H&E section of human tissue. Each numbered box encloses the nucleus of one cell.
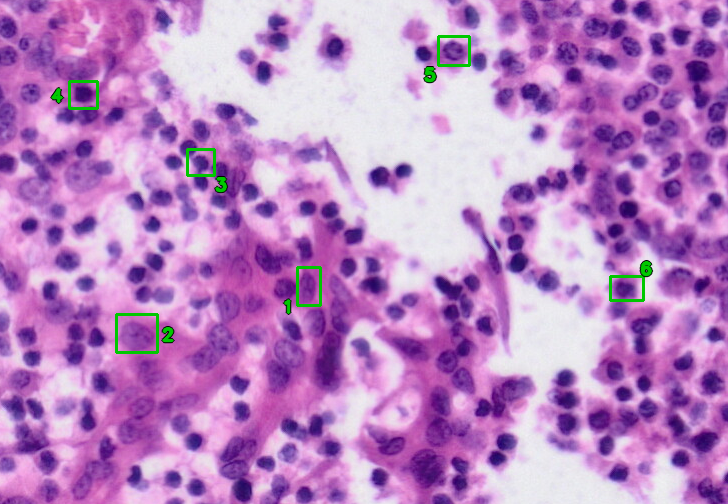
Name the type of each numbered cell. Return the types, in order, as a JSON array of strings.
["squamous epithelial cell", "squamous epithelial cell", "small lymphocyte", "plasma cell", "plasma cell", "plasma cell"]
